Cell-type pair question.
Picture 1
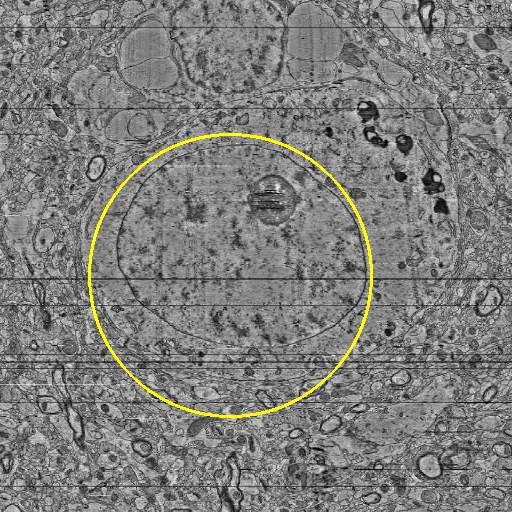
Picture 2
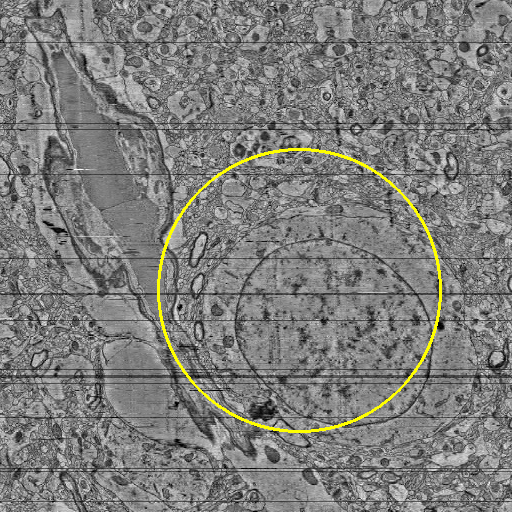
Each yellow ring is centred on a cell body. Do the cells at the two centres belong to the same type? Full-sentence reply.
Yes, the two cells belong to the same type.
